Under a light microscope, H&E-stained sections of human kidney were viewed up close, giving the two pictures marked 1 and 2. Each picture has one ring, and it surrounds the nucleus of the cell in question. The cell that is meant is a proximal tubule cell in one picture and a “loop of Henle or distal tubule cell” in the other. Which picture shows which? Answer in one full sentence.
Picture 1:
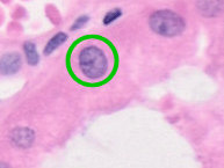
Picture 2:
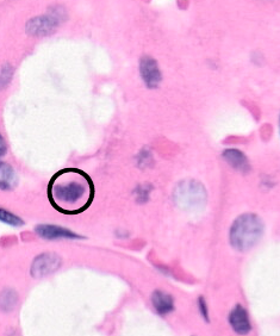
Picture 1 is of a proximal tubule cell, and picture 2 is of a “loop of Henle or distal tubule cell”.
